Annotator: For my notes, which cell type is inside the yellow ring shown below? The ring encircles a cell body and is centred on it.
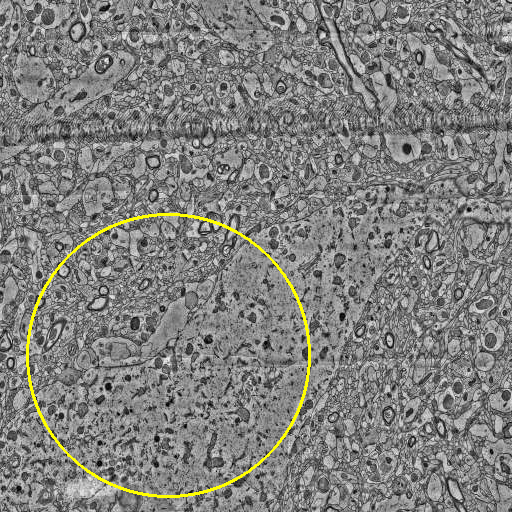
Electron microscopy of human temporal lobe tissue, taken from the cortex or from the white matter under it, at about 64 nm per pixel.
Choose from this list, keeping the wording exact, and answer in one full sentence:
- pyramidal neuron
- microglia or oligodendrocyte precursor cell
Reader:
At the centre of the yellow ring there is a microglial cell or oligodendrocyte precursor cell, as shown in the picture.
